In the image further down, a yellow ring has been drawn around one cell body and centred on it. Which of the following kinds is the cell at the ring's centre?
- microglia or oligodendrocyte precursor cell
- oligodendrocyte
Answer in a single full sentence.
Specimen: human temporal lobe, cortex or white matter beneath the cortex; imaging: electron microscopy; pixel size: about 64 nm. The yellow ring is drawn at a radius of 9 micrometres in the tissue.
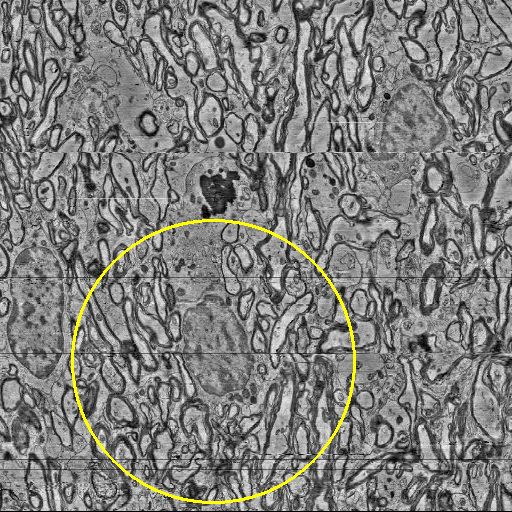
In the picture, the cell sitting at the centre of the yellow ring is an oligodendrocyte.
